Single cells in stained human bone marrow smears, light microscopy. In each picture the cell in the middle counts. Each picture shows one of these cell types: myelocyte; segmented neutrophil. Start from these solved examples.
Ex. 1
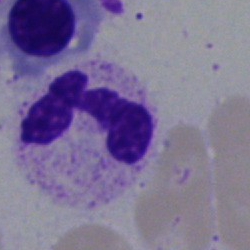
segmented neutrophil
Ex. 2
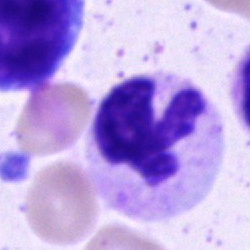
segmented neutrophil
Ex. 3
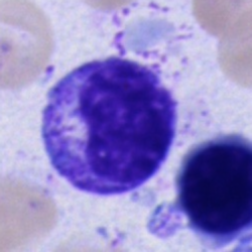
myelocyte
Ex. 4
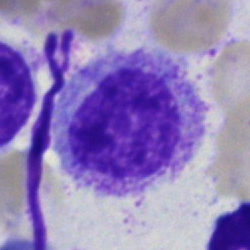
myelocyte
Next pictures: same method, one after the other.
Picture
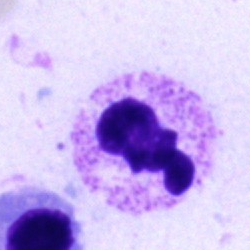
segmented neutrophil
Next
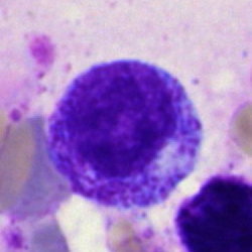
myelocyte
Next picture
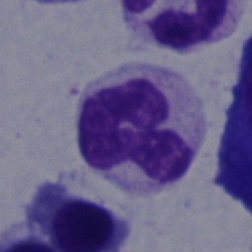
segmented neutrophil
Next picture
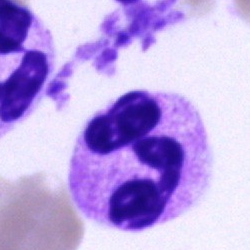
segmented neutrophil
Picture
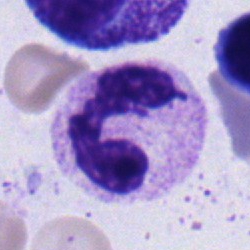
segmented neutrophil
